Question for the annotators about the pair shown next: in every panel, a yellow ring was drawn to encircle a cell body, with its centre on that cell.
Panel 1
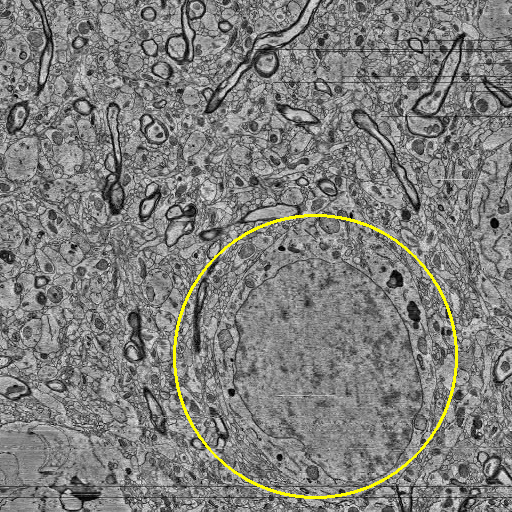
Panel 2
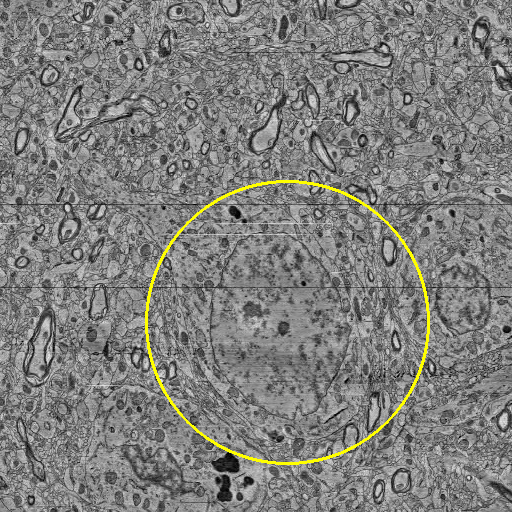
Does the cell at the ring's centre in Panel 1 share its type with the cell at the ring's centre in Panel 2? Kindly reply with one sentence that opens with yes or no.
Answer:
Yes, in Panels 1 and 2 the cells at the ring centres belong to a single type.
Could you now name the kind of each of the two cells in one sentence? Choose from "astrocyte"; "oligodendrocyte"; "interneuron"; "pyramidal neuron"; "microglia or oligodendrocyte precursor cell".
Both pictures show a pyramidal neuron at the centre of the ring.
